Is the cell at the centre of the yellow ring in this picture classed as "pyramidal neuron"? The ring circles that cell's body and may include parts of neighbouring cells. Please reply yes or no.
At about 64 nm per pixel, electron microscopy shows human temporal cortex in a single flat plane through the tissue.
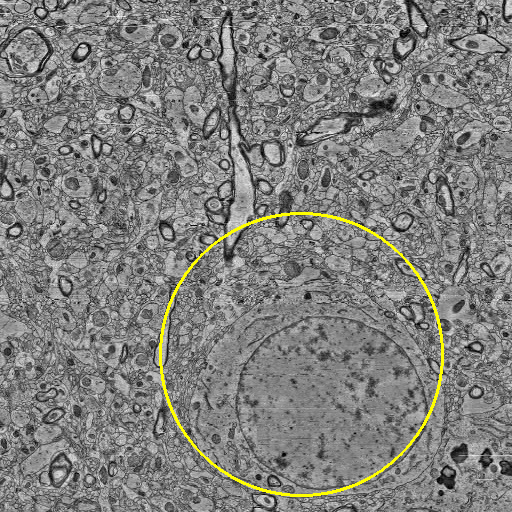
Yes, it is of that kind.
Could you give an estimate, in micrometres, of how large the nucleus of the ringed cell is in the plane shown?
In this plane, the nucleus measures approximately 12 micrometres across.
